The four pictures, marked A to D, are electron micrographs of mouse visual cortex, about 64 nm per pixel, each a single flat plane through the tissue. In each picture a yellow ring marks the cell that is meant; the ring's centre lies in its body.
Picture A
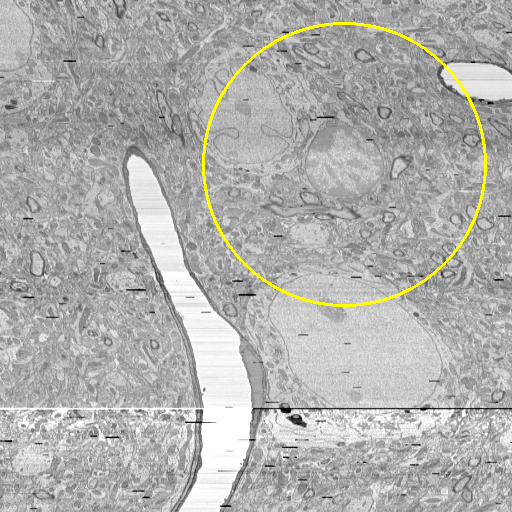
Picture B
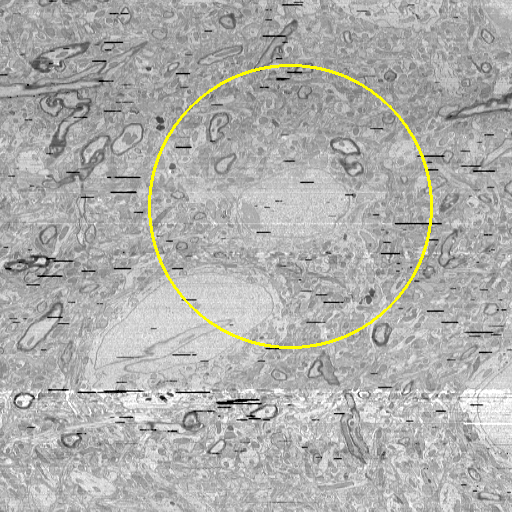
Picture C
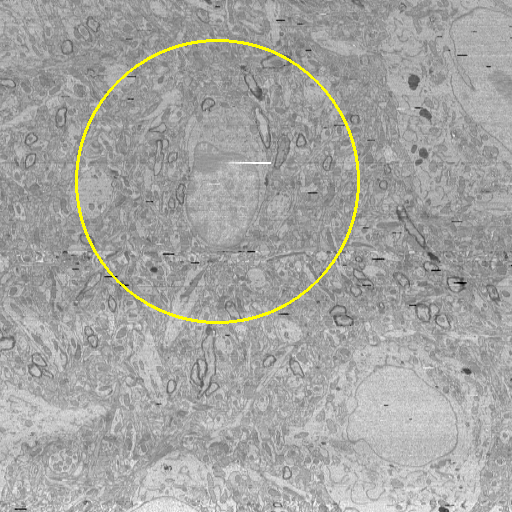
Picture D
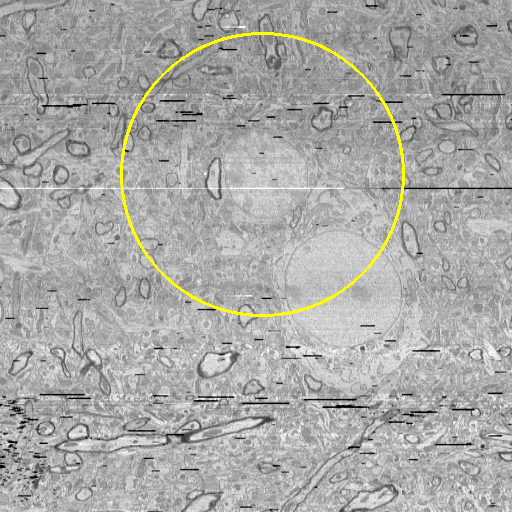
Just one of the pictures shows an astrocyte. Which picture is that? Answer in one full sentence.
Picture B shows the astrocyte.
